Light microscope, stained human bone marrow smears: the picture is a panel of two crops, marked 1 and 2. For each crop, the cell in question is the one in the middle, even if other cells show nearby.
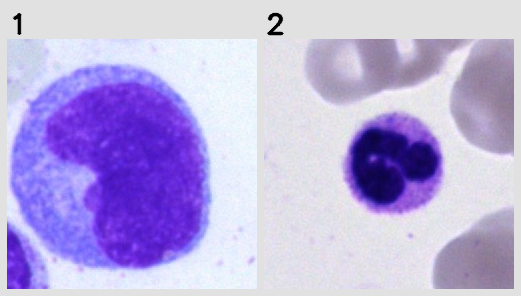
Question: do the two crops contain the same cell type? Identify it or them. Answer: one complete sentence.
No, it is crop 1 that shows a monocyte, and crop 2 that shows a segmented neutrophil.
